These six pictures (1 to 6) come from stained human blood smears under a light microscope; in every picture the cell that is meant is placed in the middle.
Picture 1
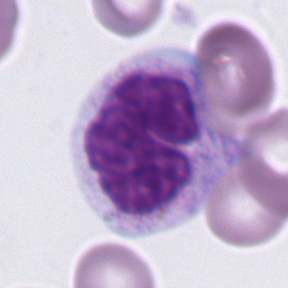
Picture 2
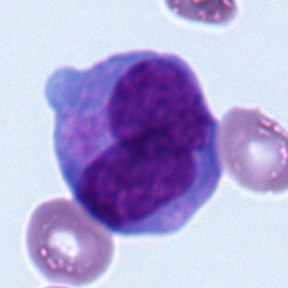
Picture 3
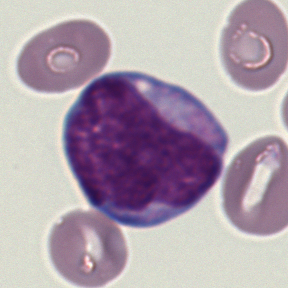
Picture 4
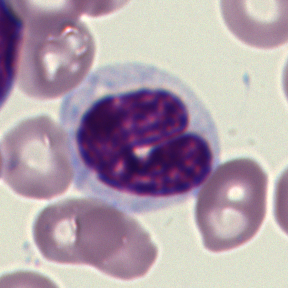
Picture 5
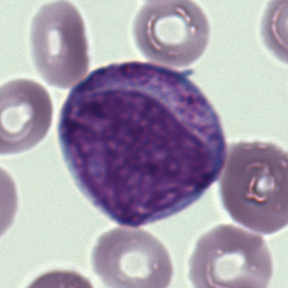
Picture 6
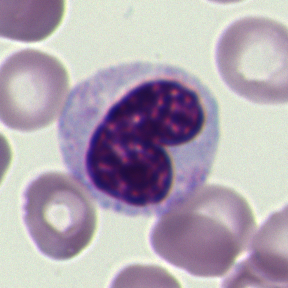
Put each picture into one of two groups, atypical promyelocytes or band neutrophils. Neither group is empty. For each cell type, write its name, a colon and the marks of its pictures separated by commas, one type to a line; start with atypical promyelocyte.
atypical promyelocyte: 2, 3, 5
band neutrophil: 1, 4, 6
